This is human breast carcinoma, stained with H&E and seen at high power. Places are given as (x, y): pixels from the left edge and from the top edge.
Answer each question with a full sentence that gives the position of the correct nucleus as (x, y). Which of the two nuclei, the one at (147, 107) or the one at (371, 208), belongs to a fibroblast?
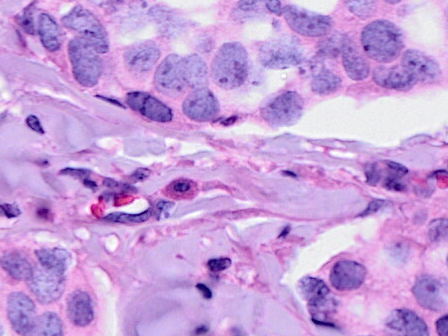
The nucleus located at (371, 208) is the one held within a fibroblast.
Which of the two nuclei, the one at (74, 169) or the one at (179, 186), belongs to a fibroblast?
The nucleus at (74, 169) is attributed to a fibroblast, unlike the other nucleus.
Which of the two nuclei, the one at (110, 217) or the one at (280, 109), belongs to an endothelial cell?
The nucleus at (110, 217) is assigned to an endothelial cell.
